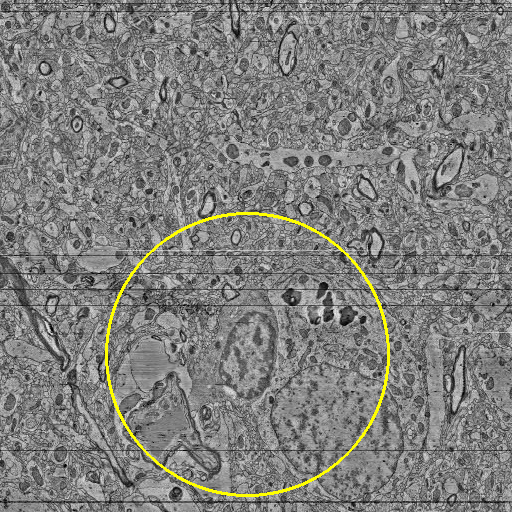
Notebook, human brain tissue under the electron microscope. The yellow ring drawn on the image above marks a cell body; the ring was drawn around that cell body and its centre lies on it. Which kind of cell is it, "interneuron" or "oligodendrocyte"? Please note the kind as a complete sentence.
The marked cell body is that of an oligodendrocyte.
